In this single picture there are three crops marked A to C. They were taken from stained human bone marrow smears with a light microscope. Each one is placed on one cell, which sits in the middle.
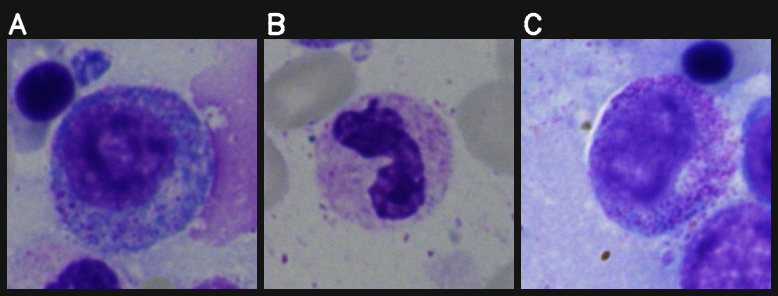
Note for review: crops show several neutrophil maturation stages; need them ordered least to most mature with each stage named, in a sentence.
The ordering by maturity, least to greatest, is crop A (a promyelocyte), crop C (a myelocyte) and crop B (a segmented neutrophil).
